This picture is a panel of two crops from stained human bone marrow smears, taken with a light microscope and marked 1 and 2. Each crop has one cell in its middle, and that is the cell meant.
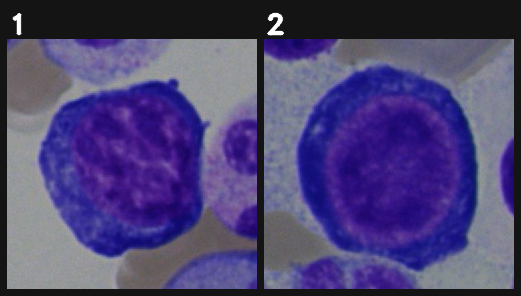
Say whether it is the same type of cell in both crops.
yes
